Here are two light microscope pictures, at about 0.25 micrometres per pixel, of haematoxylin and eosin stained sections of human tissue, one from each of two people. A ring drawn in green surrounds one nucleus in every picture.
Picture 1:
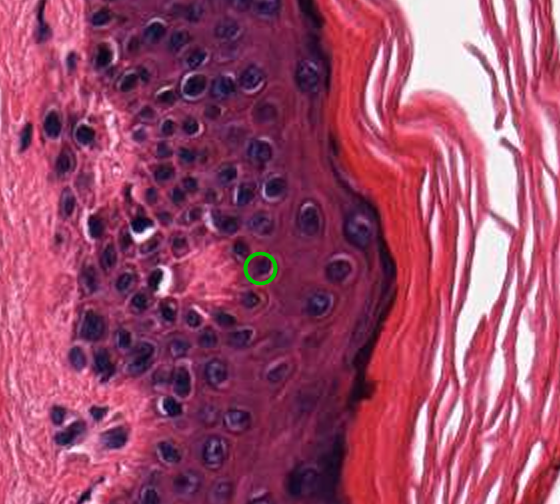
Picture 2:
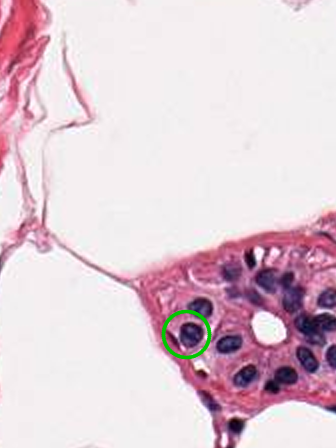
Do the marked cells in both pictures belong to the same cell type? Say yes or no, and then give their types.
No, the first is a keratinocyte and the second a sweat gland cell.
